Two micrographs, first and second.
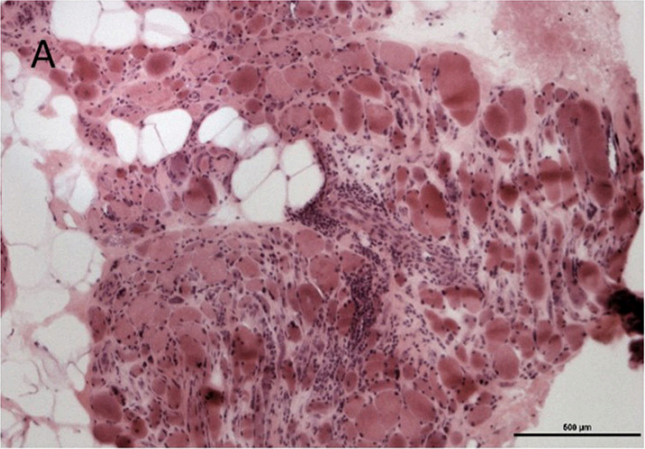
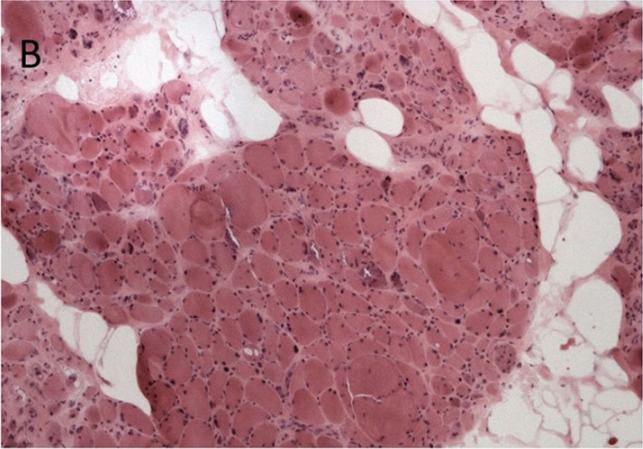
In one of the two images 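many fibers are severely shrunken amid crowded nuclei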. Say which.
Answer: The first image.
